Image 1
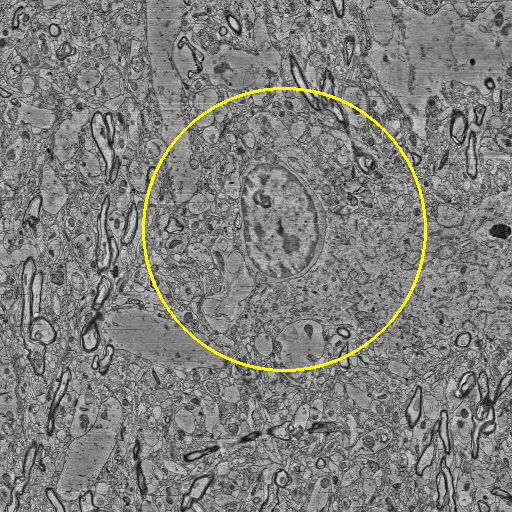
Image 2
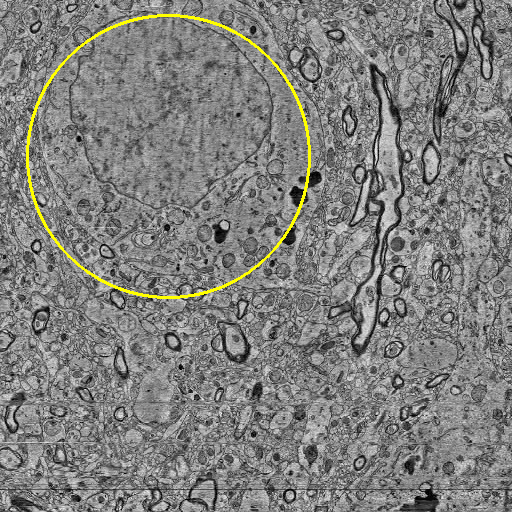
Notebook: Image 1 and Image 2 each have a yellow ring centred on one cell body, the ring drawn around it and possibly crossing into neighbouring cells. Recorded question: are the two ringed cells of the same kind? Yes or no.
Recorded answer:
no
